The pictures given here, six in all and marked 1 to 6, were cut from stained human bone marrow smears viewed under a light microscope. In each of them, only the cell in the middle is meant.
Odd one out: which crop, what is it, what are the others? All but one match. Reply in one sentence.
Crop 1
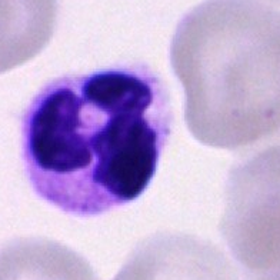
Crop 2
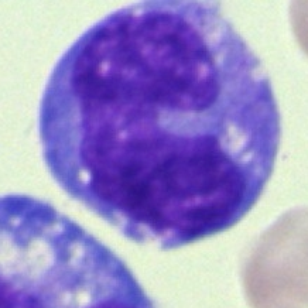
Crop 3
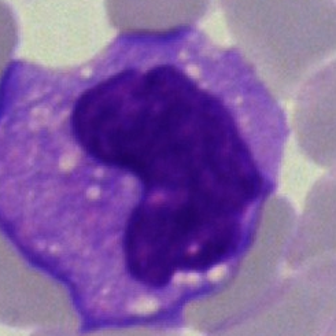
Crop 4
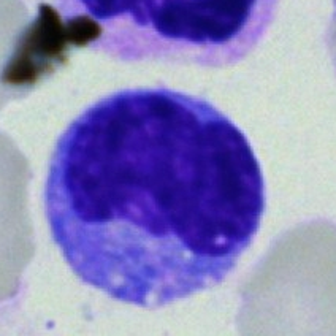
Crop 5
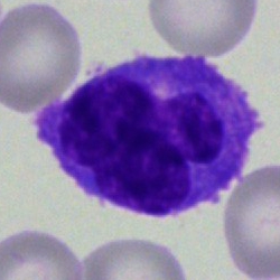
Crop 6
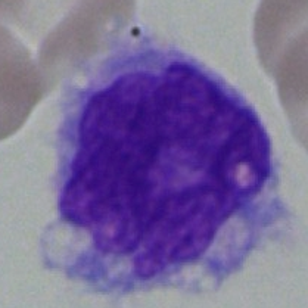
The rest of the crops show monocytes; crop 1 is the one showing a segmented neutrophil.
